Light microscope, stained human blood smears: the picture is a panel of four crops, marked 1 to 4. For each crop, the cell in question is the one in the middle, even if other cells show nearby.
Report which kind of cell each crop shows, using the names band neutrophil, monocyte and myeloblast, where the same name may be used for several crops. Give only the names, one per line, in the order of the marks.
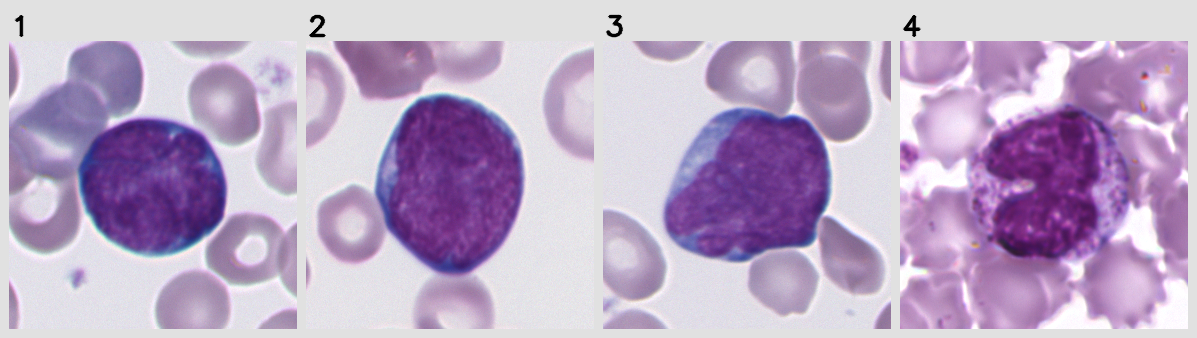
myeloblast
myeloblast
myeloblast
band neutrophil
